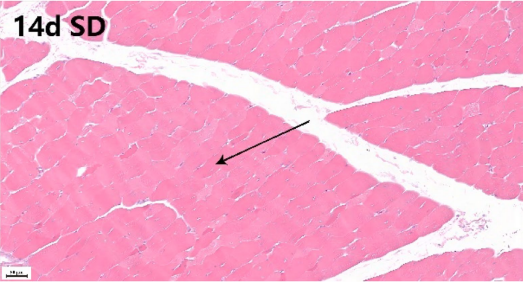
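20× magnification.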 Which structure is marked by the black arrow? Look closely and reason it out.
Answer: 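Muscle fiber. The arrow points into a field of tightly packed, polygonal pink profiles in cross-section. The profiles are separated by thin pale lines and grouped into bundles by wider white septa.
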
